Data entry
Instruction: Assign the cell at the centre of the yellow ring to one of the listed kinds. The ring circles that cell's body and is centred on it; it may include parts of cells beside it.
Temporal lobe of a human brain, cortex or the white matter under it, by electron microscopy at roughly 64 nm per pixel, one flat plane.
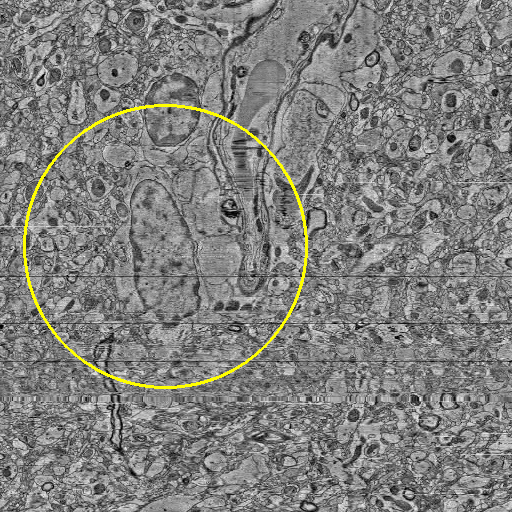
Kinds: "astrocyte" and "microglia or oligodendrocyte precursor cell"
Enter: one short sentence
The centre of the ring falls on a microglial cell or oligodendrocyte precursor cell.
